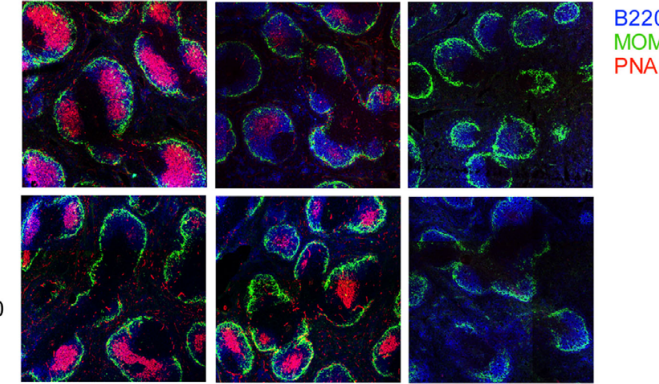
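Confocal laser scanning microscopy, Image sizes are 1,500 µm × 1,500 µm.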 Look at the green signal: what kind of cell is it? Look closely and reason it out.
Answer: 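Metallophilic macrophages. Green cells form a thin rim around each rounded follicle. The green rims outline the border between follicles and the surrounding red pulp.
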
